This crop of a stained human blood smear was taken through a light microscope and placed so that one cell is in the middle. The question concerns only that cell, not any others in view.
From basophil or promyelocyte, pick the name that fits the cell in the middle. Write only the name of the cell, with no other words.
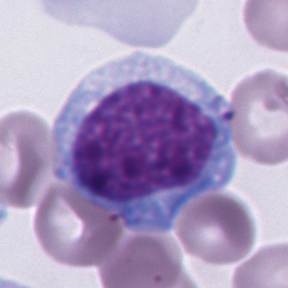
promyelocyte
